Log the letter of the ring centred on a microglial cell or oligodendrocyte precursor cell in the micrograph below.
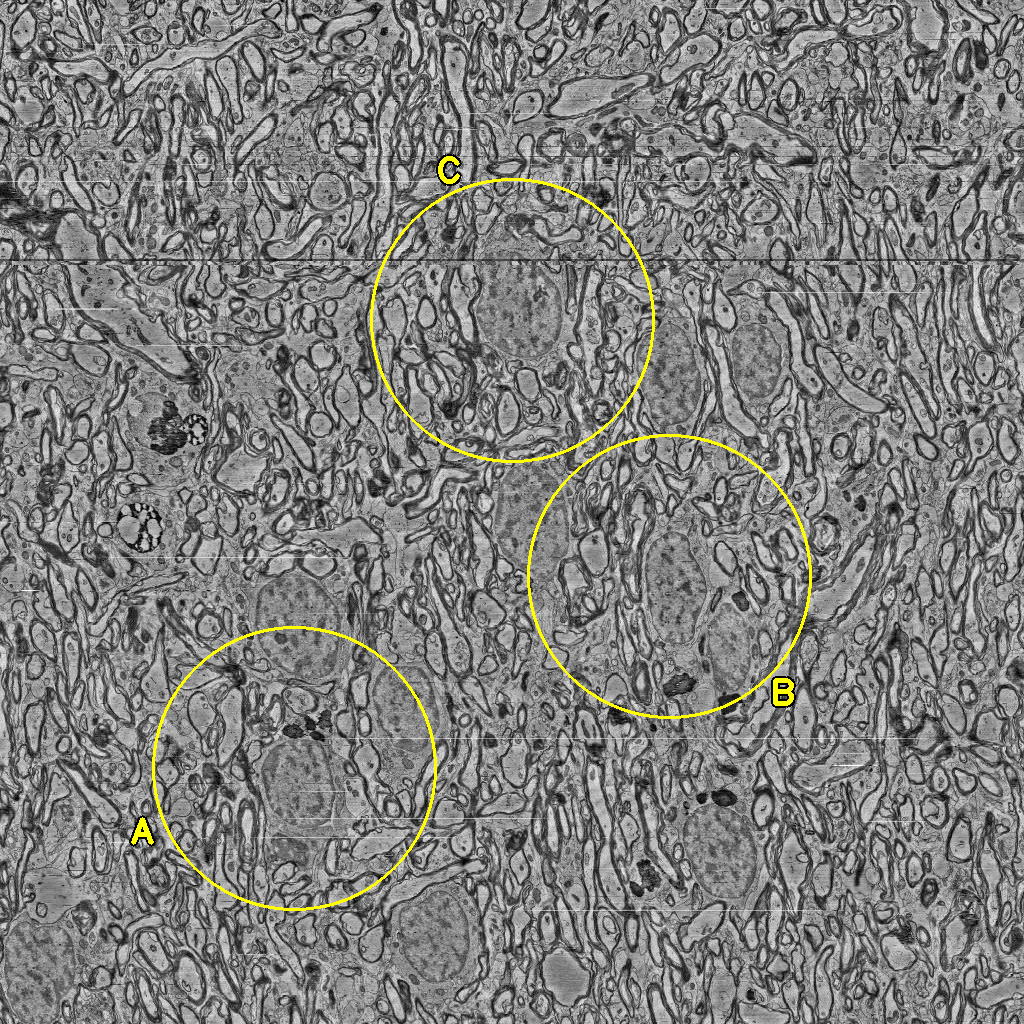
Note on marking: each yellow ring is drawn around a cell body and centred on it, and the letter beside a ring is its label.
B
